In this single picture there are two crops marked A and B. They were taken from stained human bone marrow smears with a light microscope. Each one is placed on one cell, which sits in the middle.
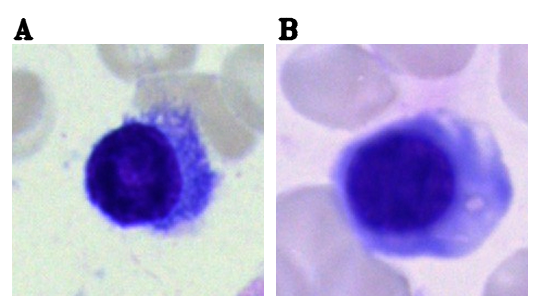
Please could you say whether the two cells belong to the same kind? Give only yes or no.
no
